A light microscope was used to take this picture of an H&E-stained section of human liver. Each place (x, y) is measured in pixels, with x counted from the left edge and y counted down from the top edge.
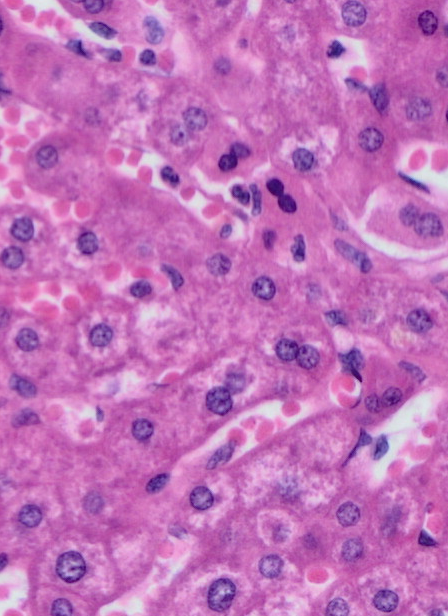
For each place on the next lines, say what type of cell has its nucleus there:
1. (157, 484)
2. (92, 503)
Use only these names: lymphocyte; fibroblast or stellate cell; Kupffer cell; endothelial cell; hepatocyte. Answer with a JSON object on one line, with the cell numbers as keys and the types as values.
{"1": "fibroblast or stellate cell", "2": "hepatocyte"}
